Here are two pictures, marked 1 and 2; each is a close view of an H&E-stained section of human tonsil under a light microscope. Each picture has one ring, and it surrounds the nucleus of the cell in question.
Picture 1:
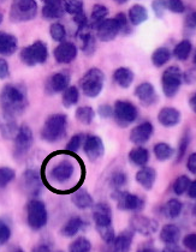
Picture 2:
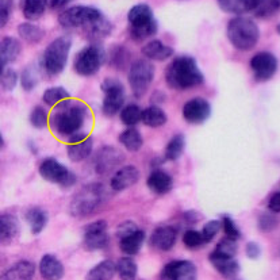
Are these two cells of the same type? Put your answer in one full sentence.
Yes, they are the same type: both are proliferating B cells.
